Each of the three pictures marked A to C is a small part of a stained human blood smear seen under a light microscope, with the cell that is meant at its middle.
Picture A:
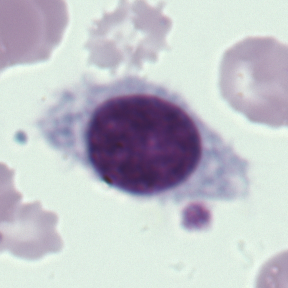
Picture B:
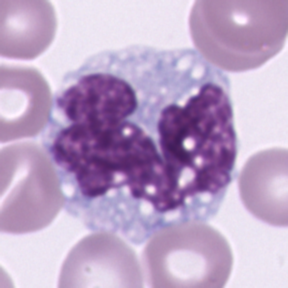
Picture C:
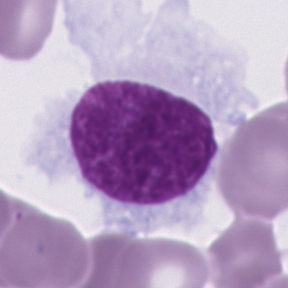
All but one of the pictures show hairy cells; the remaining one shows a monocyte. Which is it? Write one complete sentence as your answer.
Picture B is the one that shows the monocyte.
